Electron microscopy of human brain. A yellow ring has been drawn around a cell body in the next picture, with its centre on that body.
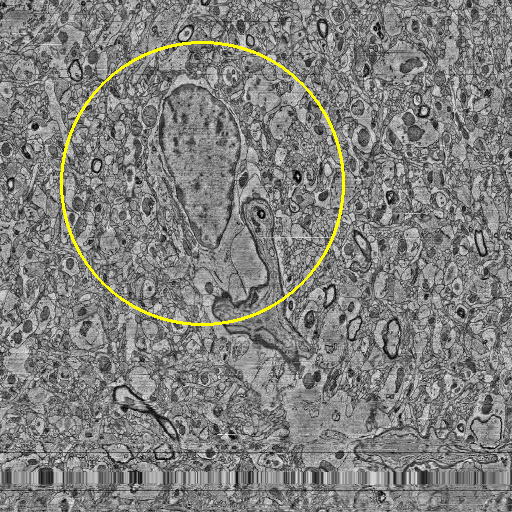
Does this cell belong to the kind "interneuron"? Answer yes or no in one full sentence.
No, the ringed cell in this picture, sitting at the ring's centre, is of another kind.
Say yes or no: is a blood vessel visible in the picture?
Yes.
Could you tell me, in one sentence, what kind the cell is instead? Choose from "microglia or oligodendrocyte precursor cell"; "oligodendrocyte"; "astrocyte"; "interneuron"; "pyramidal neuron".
Instead, the ring in this picture marks a microglial cell or oligodendrocyte precursor cell.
